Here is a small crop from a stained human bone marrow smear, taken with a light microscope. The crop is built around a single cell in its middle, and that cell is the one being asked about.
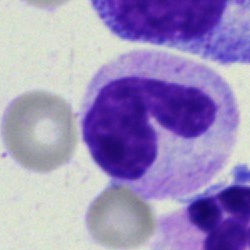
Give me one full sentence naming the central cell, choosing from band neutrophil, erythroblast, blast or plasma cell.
Looking at the middle of the crop, the cell there is a band neutrophil.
